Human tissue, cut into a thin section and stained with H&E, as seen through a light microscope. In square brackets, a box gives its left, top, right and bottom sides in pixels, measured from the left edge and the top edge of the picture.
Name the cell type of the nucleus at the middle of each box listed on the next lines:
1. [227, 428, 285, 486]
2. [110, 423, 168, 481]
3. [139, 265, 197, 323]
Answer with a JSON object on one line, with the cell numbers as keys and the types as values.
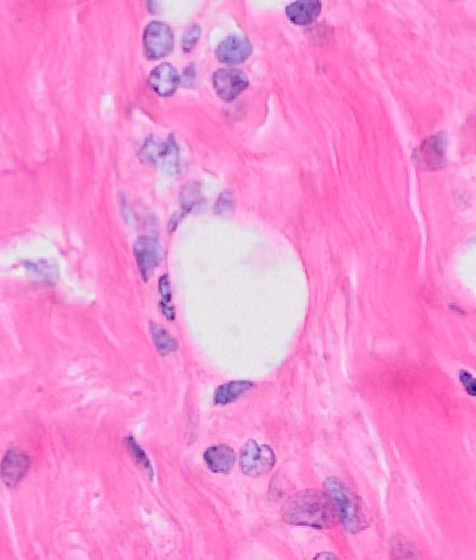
{"1": "carcinoma cell", "2": "fibroblast", "3": "endothelial cell"}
